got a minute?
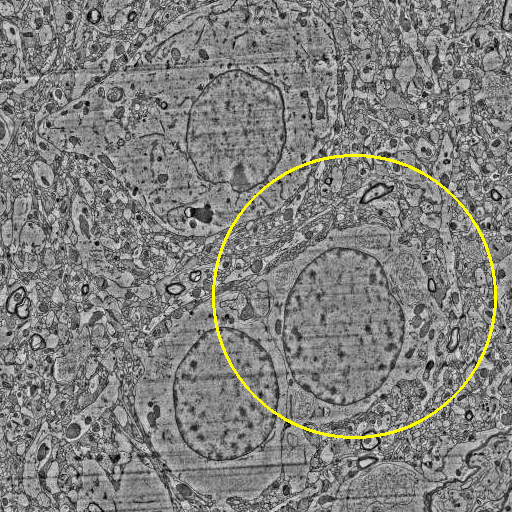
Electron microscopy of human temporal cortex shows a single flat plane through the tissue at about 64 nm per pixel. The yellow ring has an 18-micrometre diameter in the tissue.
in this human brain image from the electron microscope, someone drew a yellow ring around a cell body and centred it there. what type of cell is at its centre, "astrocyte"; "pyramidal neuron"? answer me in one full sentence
It's an astrocyte at the middle of that yellow ring in the shot.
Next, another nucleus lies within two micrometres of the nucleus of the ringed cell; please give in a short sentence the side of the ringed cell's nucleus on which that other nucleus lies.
That second nucleus is to the lower left of it.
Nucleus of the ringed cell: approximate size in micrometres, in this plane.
About 10 by 8 micrometres in this plane.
